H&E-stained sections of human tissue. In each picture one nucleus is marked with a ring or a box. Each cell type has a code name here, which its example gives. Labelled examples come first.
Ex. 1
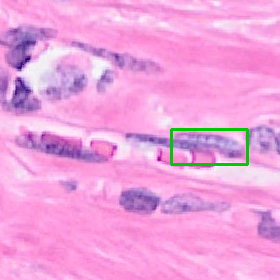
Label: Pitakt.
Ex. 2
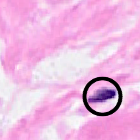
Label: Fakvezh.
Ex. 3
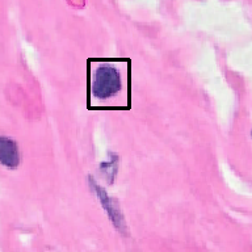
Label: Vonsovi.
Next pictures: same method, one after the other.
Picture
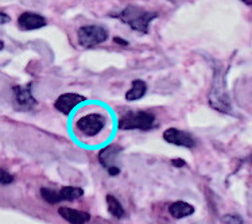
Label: Vonsovi.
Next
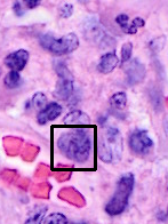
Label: Pitakt.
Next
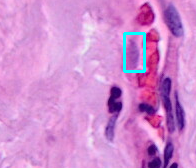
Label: Pitakt.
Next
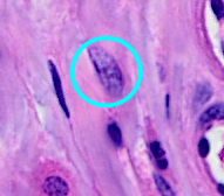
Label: Fakvezh.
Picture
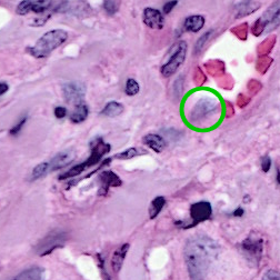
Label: Pitakt.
